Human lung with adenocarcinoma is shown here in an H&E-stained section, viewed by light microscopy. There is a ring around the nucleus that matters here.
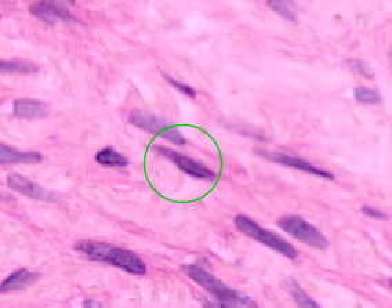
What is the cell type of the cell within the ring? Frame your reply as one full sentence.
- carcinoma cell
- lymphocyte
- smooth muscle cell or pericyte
In cellular terms, the cell within the ring is a smooth muscle cell or pericyte.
